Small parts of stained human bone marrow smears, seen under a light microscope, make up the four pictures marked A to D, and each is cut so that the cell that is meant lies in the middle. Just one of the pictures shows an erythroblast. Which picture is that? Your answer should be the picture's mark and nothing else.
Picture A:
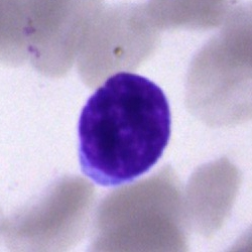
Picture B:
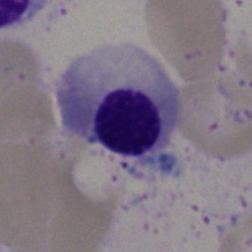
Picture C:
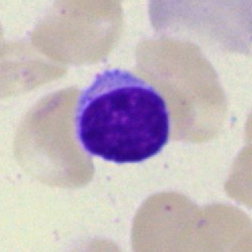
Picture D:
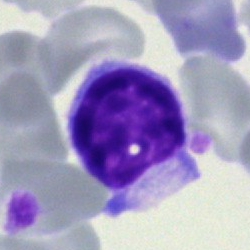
B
